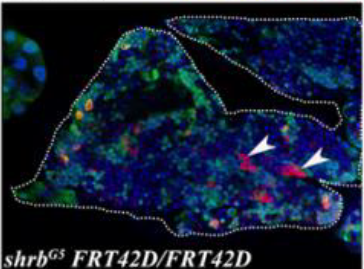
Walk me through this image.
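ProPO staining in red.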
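This is the primary lobe of a lymph gland, outlined by a dotted line and packed with small blue nuclei. Scattered among them are a few bright red cells, the crystal cells, some rounded and some drawn out, set in a patchy green background.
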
